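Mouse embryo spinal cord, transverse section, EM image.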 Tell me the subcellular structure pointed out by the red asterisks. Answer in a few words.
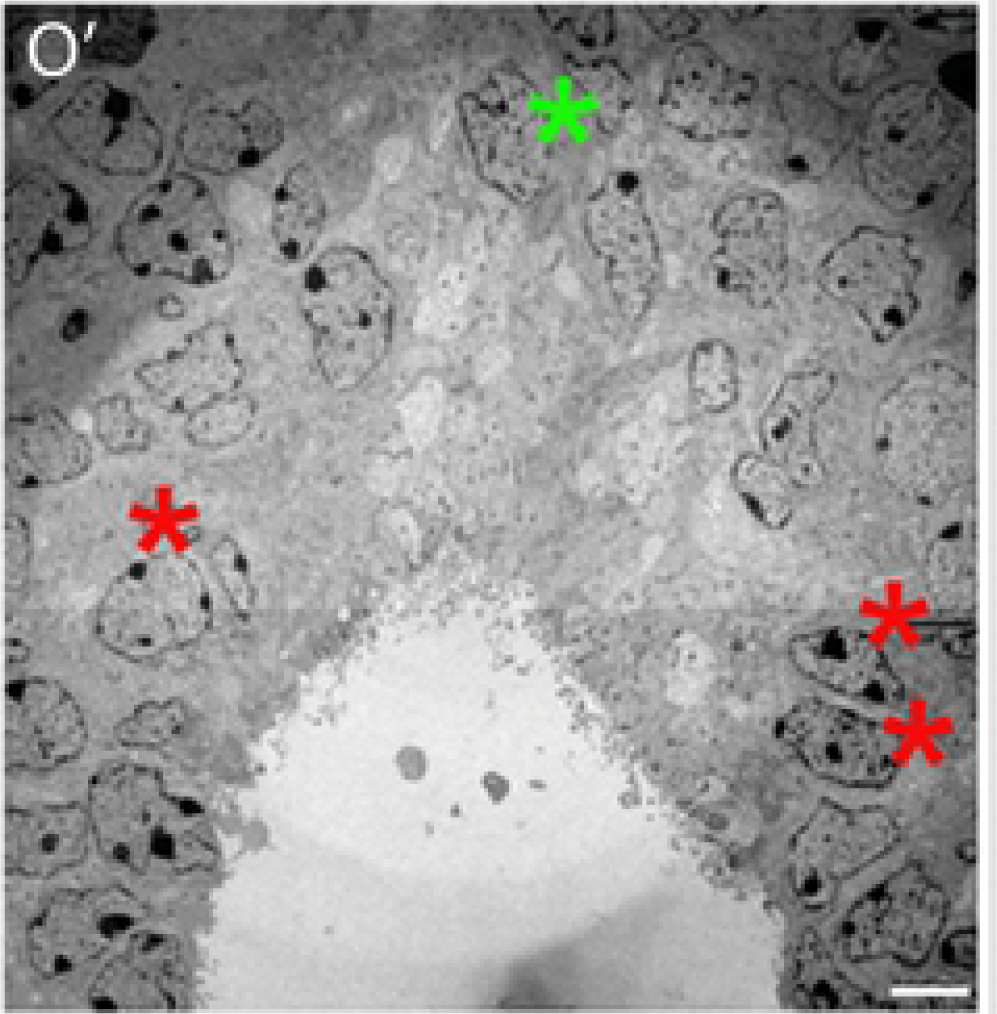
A: Nuclei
